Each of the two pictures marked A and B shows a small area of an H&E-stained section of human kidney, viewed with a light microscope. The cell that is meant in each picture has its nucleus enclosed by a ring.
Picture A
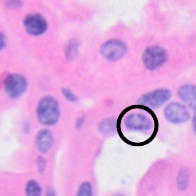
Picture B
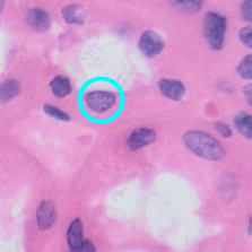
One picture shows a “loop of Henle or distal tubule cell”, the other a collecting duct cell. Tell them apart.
A: collecting duct cell
B: loop of Henle or distal tubule cell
